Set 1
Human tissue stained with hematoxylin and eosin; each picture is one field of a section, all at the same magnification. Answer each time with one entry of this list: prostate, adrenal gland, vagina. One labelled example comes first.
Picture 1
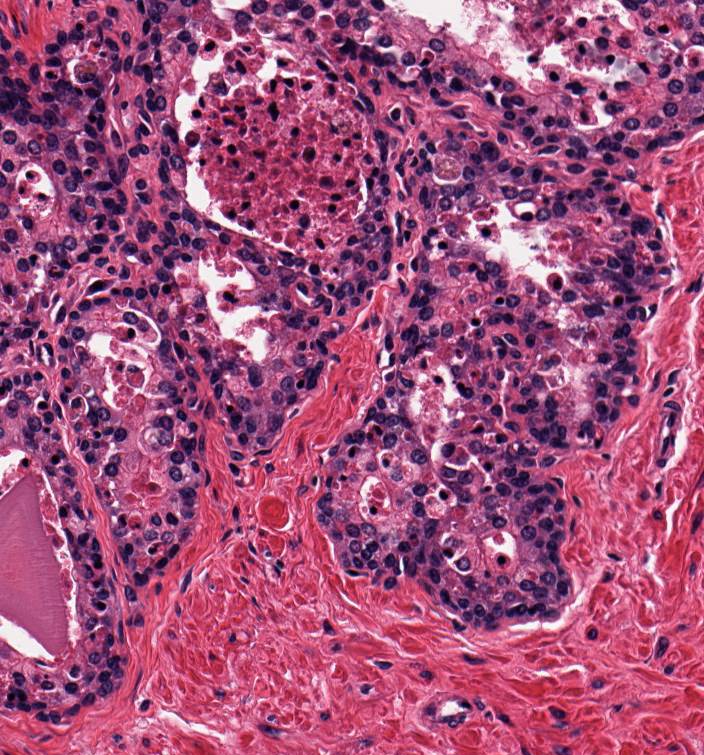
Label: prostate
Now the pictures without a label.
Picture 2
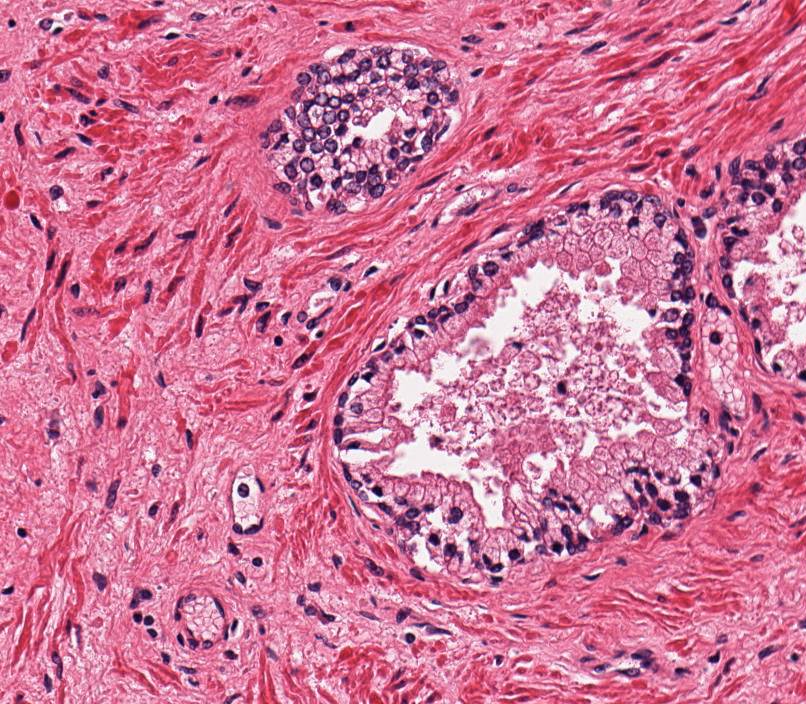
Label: prostate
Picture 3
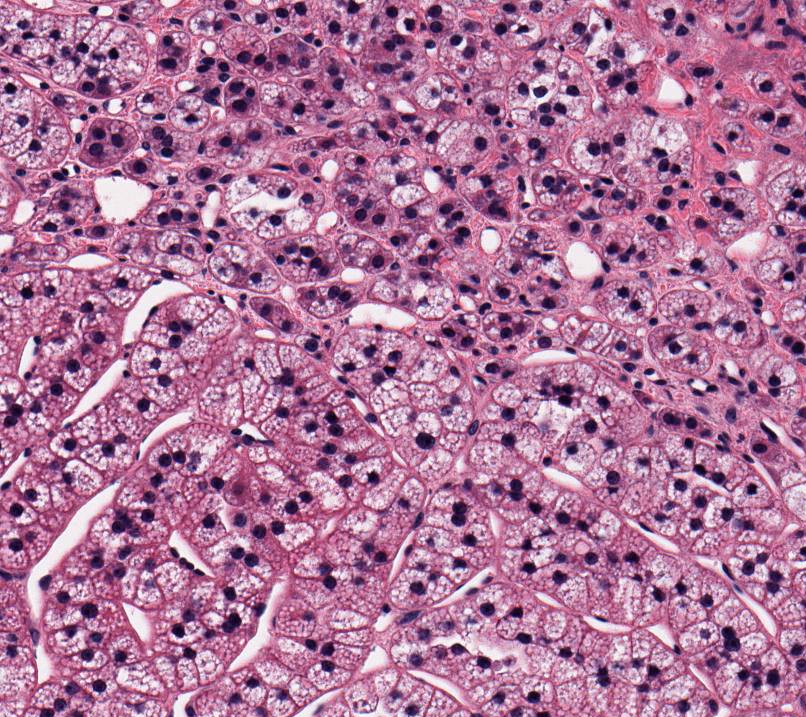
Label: adrenal gland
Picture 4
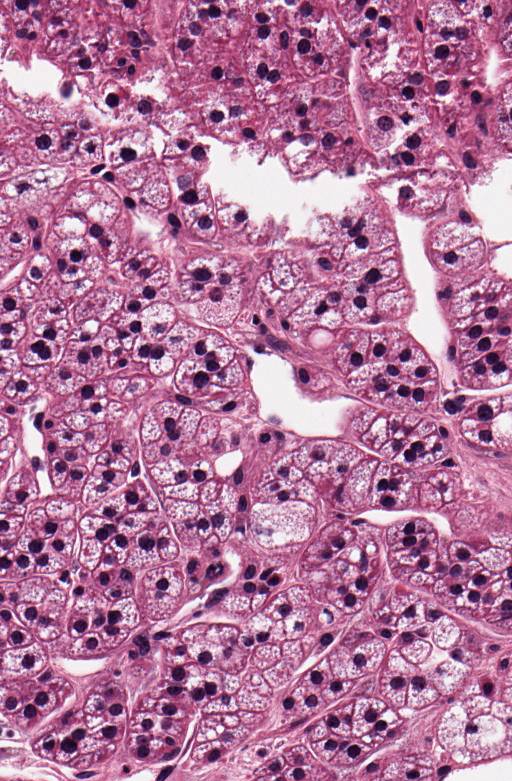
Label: adrenal gland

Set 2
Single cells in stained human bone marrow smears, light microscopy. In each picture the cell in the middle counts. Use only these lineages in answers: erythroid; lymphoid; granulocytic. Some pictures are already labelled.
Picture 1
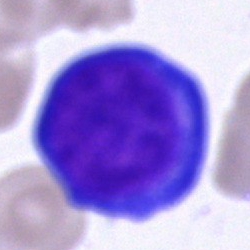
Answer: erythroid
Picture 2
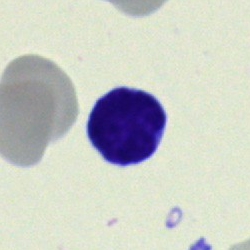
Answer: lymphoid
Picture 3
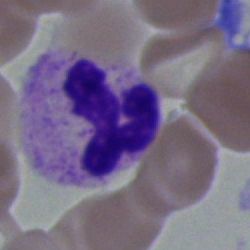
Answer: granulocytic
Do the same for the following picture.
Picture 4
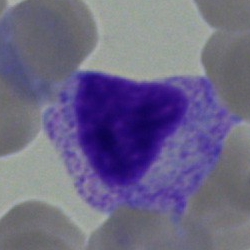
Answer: granulocytic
